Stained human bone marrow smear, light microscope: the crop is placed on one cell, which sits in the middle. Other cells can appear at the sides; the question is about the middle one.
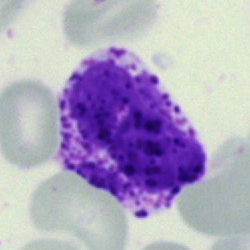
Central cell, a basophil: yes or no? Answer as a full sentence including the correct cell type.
Yes, the cell found in the center of the crop is a basophil.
